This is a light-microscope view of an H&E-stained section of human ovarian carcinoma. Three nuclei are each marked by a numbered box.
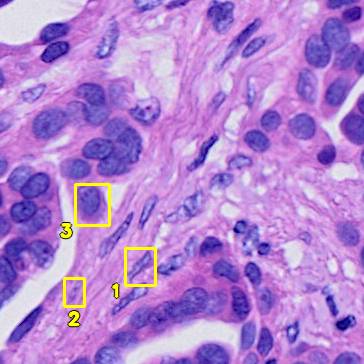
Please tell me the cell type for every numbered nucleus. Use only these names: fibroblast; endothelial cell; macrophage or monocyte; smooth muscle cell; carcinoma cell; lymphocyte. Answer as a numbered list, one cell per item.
1. fibroblast
2. fibroblast
3. carcinoma cell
